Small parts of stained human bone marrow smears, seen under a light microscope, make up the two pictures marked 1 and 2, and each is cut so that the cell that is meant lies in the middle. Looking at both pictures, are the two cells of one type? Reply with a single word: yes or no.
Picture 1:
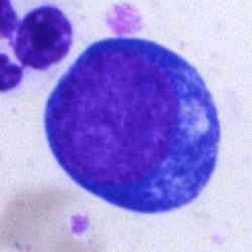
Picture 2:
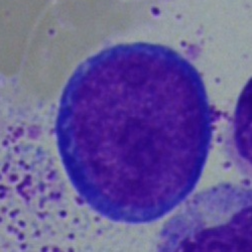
yes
